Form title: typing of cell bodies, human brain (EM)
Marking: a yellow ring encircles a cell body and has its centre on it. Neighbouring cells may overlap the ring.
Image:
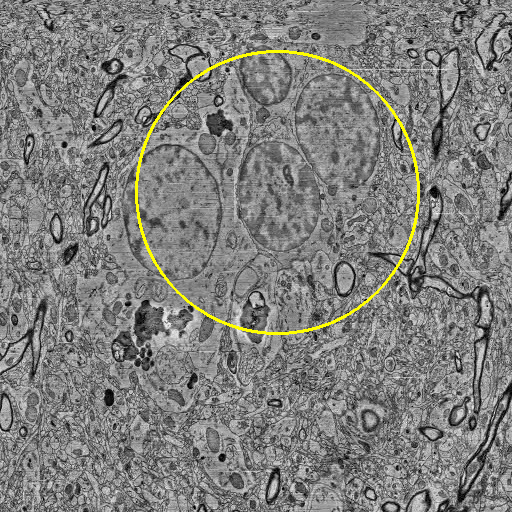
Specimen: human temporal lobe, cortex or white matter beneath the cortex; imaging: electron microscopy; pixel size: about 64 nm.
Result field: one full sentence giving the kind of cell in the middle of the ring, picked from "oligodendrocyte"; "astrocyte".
In the picture, the ring is centred on an oligodendrocyte, whose cell body it encircles.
